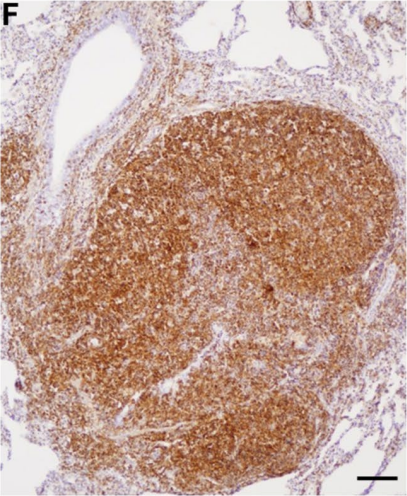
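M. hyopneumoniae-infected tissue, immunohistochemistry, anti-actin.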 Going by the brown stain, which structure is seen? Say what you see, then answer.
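A large rounded, densely cellular aggregate is stained intensely brown. It lies next to an airway and alveolar tissue, which stain far less. The answer: lymphoid follicle.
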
